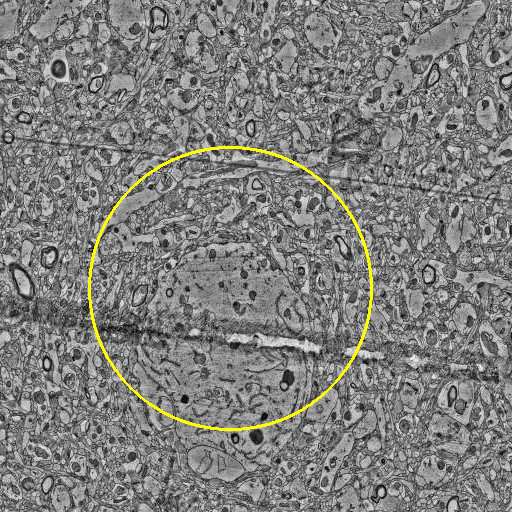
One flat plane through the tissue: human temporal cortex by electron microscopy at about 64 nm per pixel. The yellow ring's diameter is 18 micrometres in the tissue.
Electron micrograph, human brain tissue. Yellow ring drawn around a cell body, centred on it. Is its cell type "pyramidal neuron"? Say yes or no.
yes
